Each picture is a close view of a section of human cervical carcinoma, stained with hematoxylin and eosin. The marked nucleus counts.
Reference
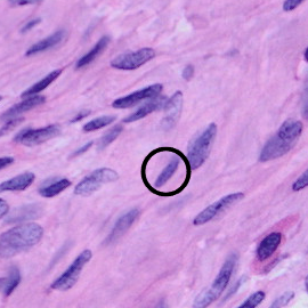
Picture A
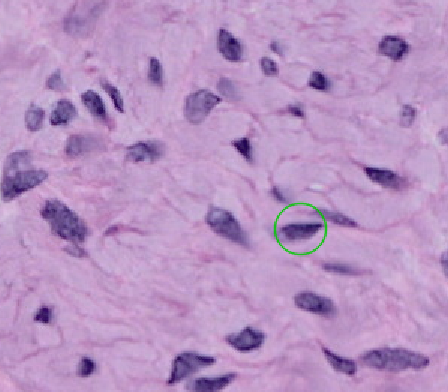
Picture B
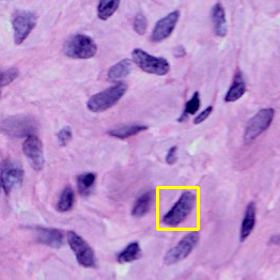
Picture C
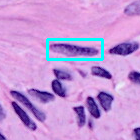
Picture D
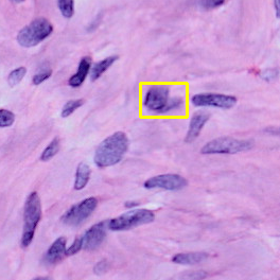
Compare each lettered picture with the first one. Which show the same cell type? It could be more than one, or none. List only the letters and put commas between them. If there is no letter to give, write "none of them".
A, B, C, D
